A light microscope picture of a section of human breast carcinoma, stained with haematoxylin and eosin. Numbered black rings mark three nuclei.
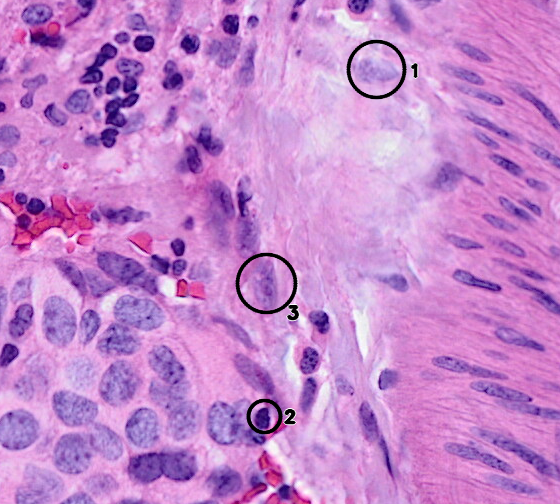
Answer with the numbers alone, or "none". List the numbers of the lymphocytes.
2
